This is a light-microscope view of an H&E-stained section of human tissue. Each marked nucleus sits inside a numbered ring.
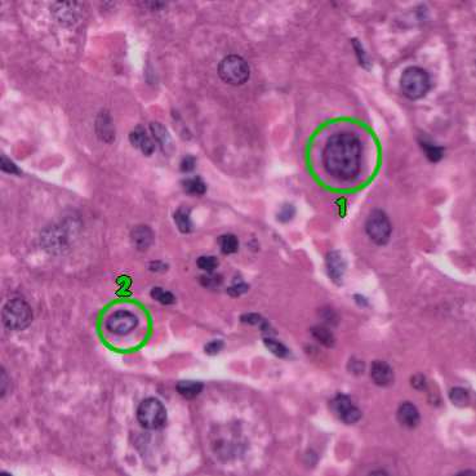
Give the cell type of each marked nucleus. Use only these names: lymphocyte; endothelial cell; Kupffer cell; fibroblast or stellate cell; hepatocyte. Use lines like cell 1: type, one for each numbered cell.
cell 1: hepatocyte
cell 2: Kupffer cell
